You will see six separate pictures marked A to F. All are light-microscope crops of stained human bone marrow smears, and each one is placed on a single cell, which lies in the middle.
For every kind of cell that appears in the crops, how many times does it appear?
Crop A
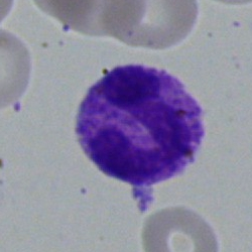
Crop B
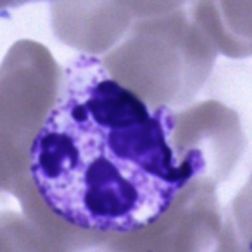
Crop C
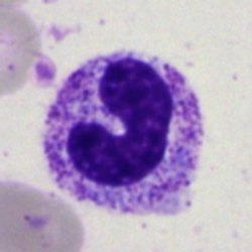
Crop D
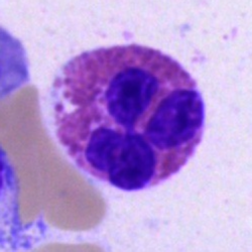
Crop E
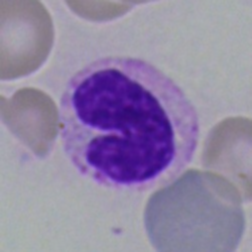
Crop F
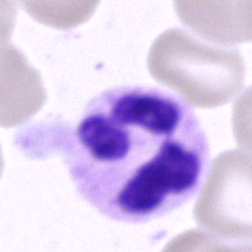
segmented neutrophil: 3
band neutrophil: 2
eosinophil: 1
